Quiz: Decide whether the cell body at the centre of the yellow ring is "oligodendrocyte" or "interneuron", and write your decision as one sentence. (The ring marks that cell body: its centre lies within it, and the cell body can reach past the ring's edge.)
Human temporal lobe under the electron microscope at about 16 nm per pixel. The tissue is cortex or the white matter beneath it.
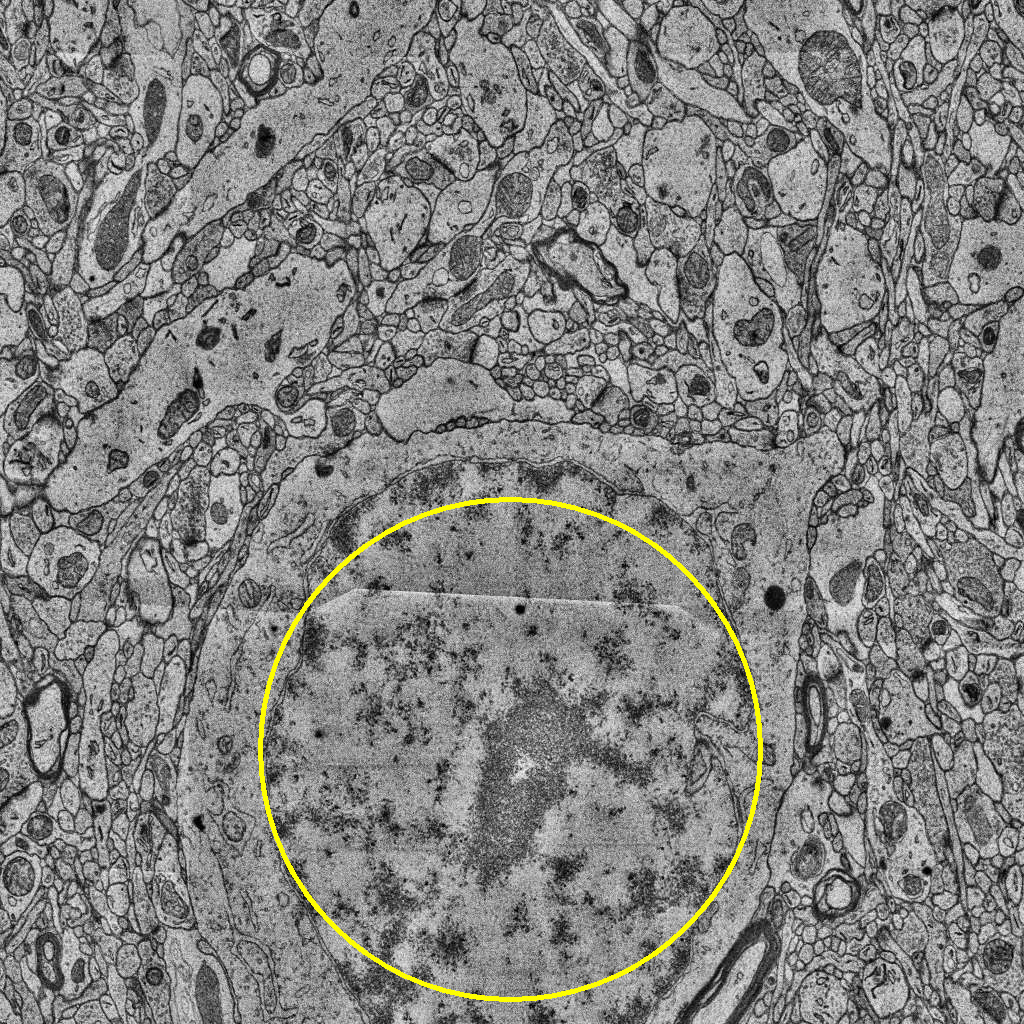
The cell holding the ring's centre is an interneuron.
